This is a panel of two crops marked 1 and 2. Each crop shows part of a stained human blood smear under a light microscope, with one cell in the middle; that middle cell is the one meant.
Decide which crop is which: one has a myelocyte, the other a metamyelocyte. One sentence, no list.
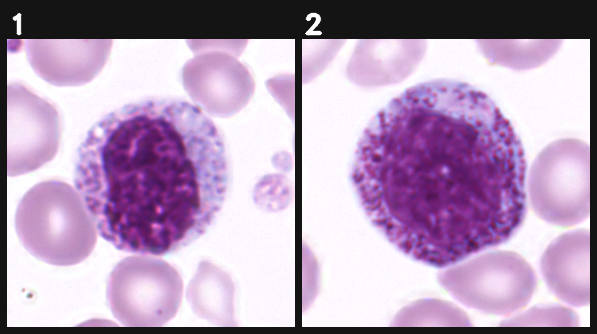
Identification: crop 1 is a metamyelocyte; crop 2 is a myelocyte.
